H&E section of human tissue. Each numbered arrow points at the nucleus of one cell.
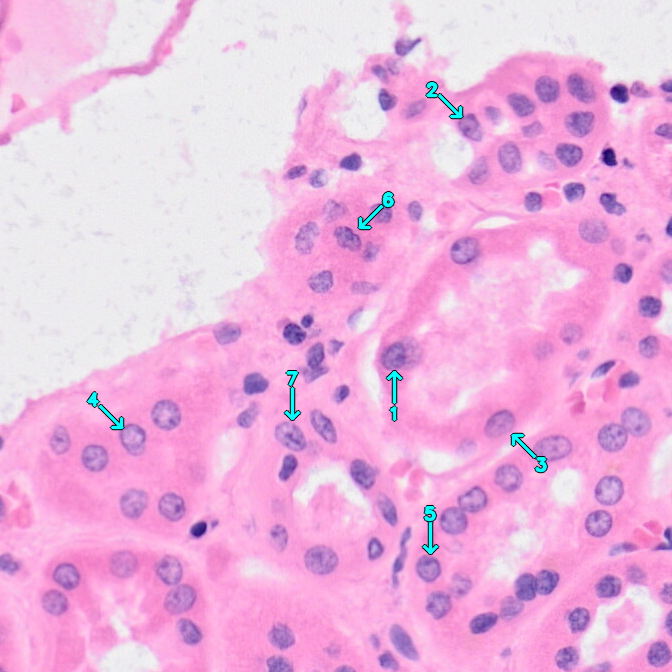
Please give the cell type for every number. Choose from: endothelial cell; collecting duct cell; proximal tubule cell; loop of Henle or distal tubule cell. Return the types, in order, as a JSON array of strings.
["proximal tubule cell", "collecting duct cell", "proximal tubule cell", "proximal tubule cell", "proximal tubule cell", "loop of Henle or distal tubule cell", "collecting duct cell"]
